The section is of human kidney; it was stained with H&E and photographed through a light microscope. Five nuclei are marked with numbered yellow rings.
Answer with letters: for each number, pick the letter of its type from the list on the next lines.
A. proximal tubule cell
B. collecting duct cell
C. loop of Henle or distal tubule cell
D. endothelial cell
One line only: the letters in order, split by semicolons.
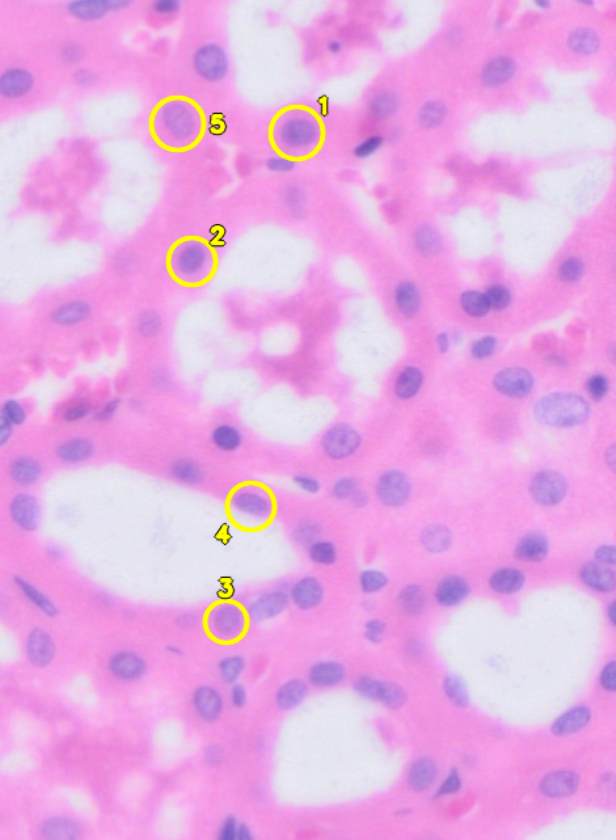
A; A; C; C; A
